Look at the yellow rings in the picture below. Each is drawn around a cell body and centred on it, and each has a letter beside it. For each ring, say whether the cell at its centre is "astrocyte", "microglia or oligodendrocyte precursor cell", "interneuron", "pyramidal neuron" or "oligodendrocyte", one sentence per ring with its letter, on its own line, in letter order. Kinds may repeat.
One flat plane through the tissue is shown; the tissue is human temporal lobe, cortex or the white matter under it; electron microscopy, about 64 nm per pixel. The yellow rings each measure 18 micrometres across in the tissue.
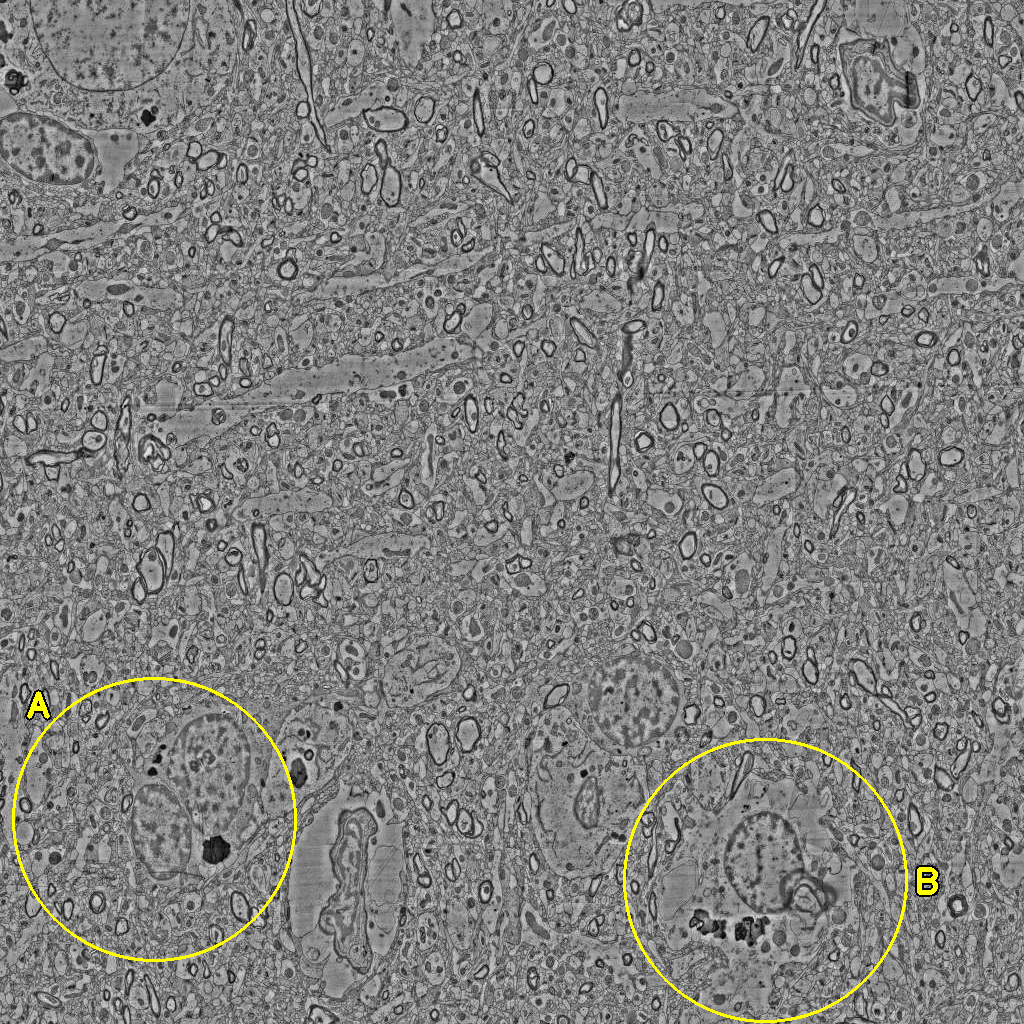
The centred cell of ring A is an oligodendrocyte.
The centred cell of ring B is an astrocyte.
